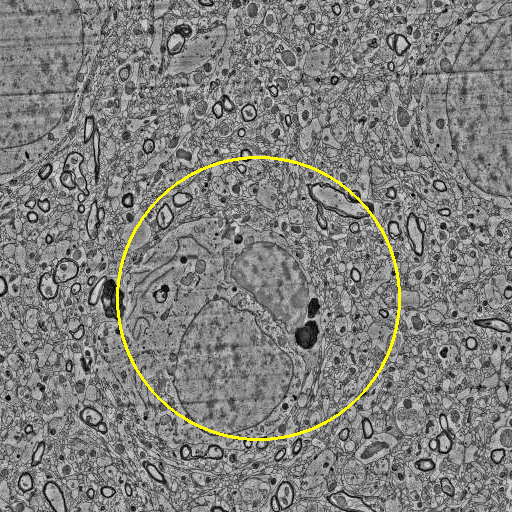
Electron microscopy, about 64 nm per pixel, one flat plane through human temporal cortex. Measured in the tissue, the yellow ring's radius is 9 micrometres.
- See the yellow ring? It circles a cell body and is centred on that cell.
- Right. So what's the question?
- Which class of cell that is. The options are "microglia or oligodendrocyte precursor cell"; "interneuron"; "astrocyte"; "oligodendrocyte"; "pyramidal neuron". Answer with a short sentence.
The centre of the ring holds an oligodendrocyte.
